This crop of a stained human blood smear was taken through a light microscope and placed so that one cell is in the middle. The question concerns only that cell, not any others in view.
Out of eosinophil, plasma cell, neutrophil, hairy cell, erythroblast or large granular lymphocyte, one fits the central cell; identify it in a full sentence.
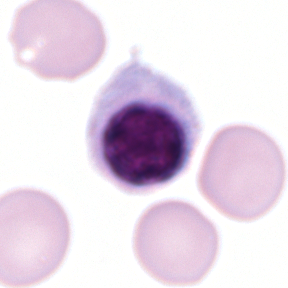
In the central position of this crop, the cell is an erythroblast.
